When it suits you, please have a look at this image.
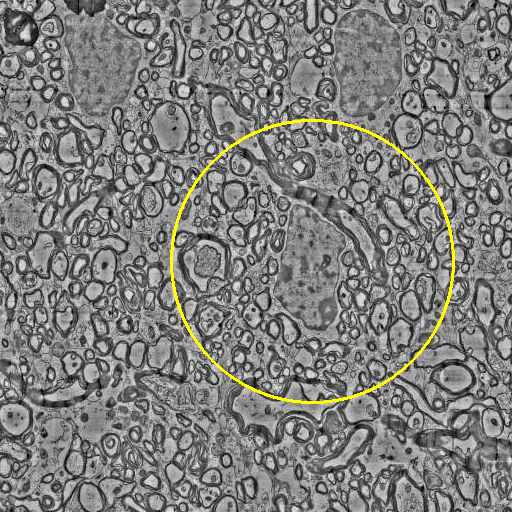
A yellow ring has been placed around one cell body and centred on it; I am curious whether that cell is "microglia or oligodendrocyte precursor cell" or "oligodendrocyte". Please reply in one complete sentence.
The ringed cell, a microglial cell or oligodendrocyte precursor cell, has its body at the centre of the yellow ring.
